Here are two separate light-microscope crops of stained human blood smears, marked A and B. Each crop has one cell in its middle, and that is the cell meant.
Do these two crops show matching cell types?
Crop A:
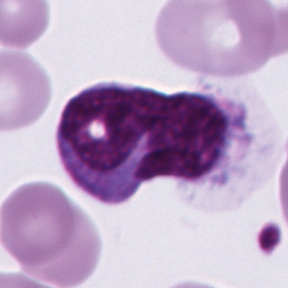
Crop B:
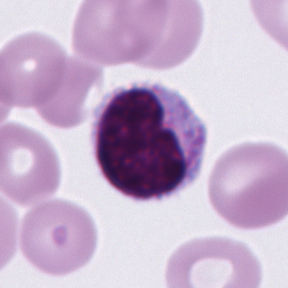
no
